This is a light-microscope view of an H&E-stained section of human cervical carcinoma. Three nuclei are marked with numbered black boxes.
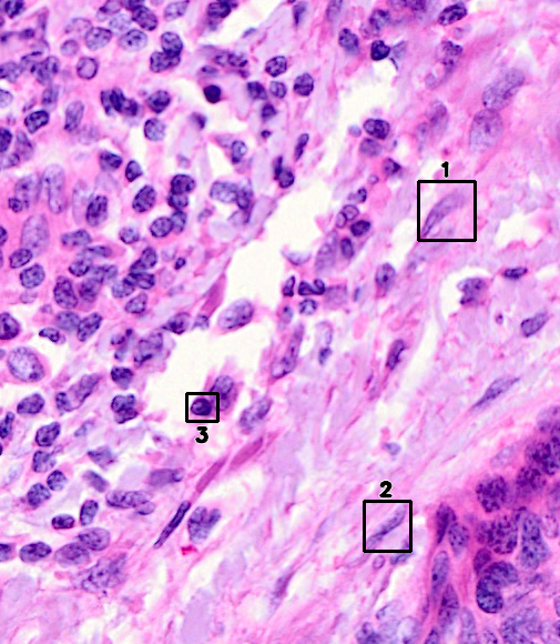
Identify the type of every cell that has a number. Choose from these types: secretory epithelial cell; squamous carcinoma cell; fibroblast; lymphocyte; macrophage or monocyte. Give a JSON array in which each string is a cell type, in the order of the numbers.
["fibroblast", "fibroblast", "lymphocyte"]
